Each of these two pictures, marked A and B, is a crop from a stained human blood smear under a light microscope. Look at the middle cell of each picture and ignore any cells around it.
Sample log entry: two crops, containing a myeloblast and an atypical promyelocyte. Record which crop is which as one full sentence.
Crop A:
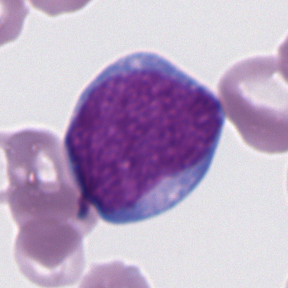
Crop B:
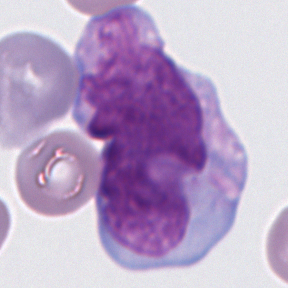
Crop A is a myeloblast, with crop B being an atypical promyelocyte.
